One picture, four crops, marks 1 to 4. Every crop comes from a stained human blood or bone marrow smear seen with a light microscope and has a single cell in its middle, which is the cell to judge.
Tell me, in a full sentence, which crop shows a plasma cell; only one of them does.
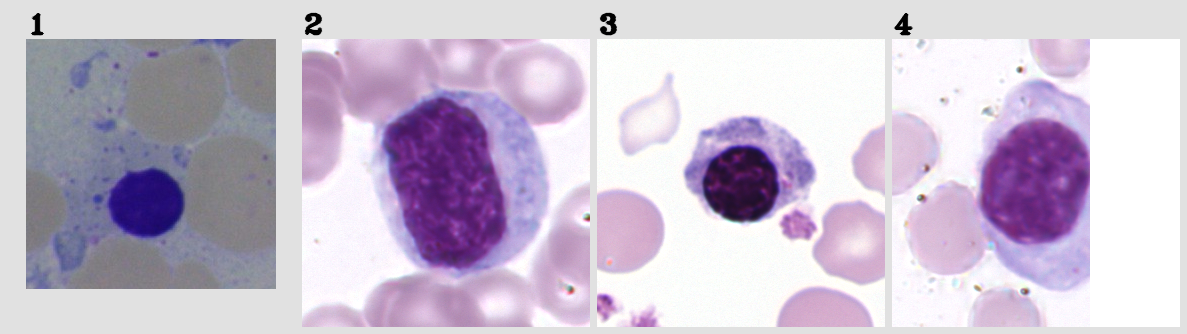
Crop 4 alone, of all the crops, shows a plasma cell.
